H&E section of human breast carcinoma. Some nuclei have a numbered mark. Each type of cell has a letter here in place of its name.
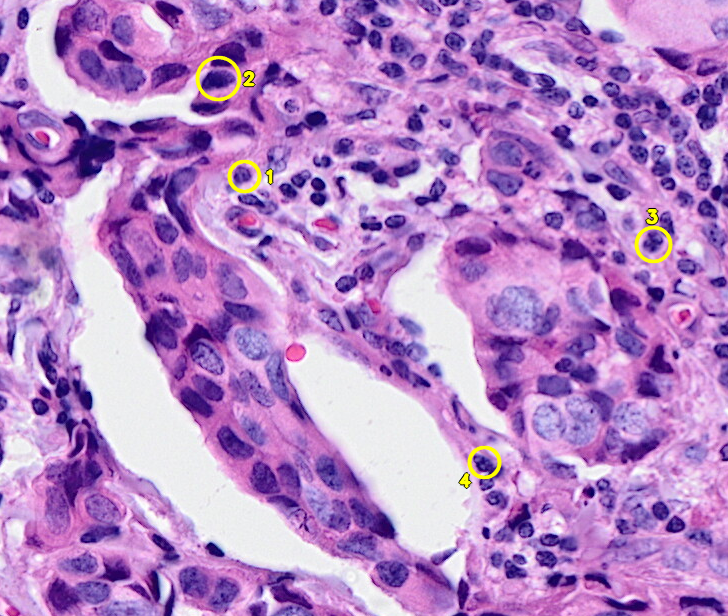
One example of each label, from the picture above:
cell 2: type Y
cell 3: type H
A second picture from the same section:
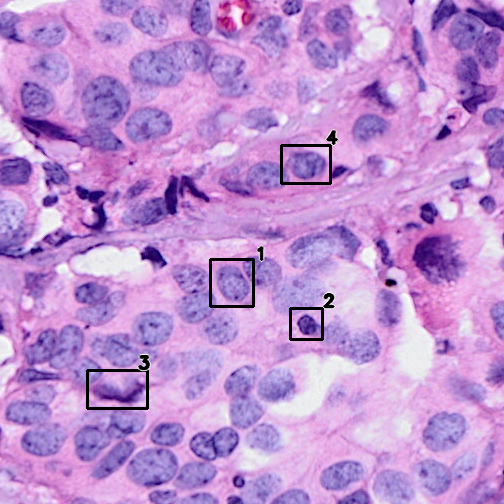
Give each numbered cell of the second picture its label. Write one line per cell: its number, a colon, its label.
1: type Y
2: type H
3: type Y
4: type Y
